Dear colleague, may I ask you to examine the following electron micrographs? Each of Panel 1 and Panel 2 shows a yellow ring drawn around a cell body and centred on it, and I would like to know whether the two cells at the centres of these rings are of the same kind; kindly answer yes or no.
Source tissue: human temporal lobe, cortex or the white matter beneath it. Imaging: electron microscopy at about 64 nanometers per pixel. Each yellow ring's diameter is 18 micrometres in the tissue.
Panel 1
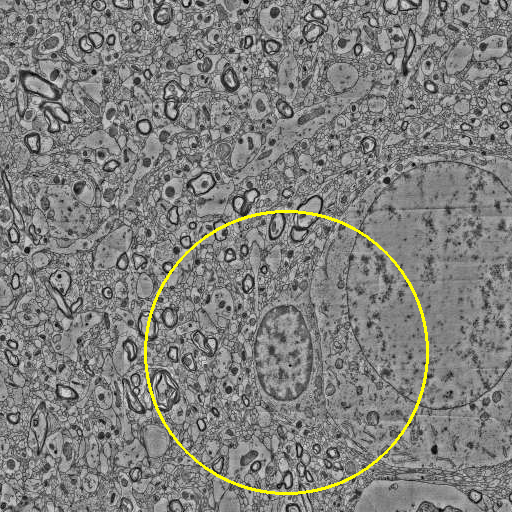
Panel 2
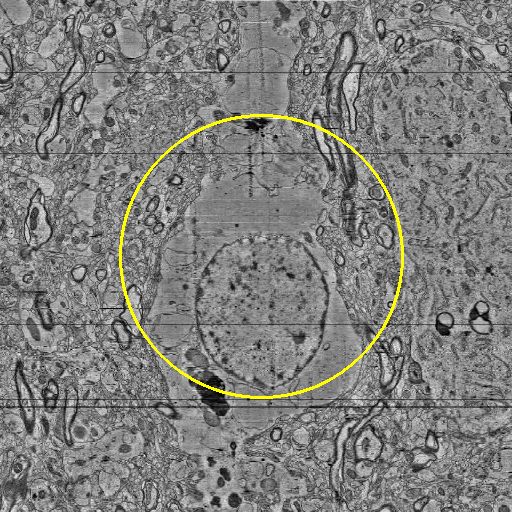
no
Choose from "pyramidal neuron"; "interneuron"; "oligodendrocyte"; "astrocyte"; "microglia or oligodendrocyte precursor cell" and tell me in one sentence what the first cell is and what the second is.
What the first ring is centred on is an oligodendrocyte; what the second ring is centred on is an astrocyte.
